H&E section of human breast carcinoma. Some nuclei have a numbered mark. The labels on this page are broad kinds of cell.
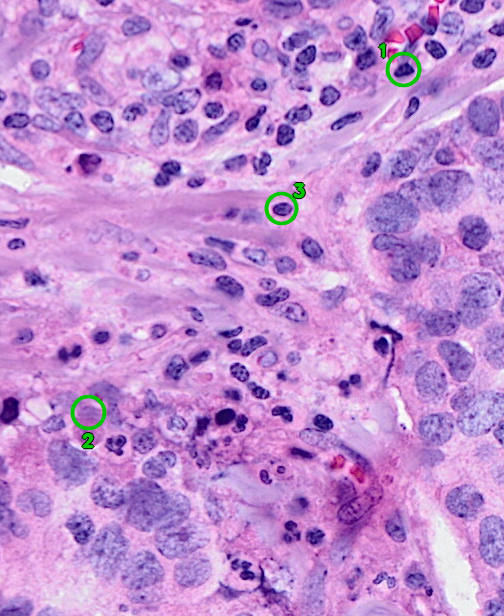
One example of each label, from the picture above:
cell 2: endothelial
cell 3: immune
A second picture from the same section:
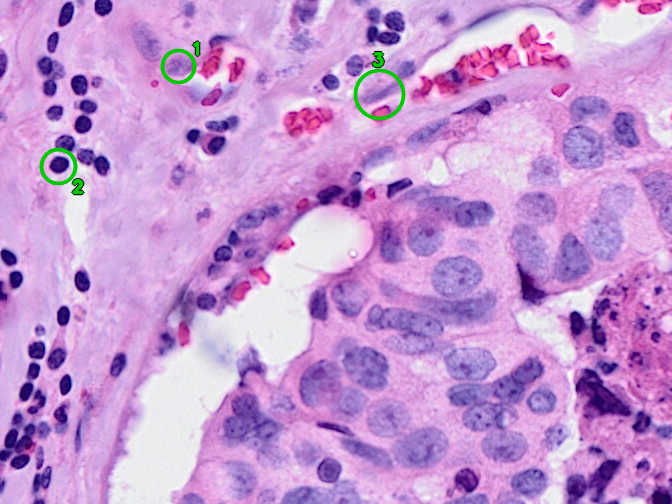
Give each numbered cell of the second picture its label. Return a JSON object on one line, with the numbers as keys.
{"1": "endothelial", "2": "immune", "3": "endothelial"}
